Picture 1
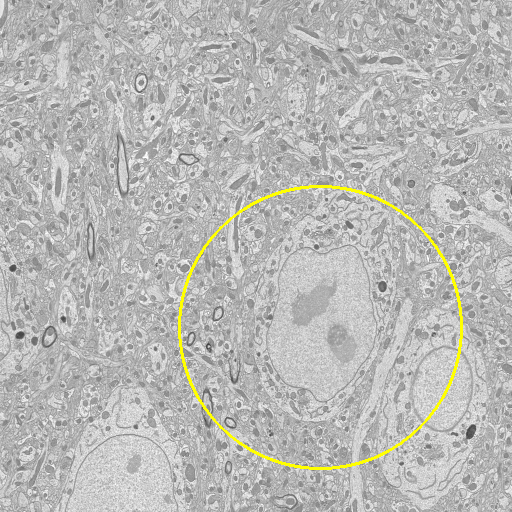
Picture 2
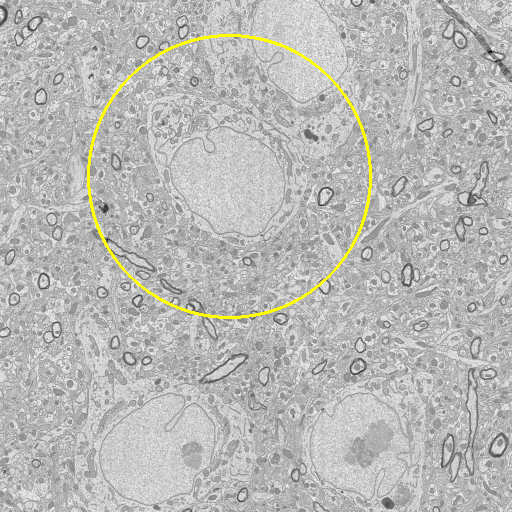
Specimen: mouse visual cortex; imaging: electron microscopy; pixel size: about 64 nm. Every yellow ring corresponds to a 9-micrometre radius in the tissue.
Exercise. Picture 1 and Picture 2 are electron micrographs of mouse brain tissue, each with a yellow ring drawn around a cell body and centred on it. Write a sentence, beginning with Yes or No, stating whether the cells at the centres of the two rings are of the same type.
Yes, the cells at the centres of both rings are of the same type.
